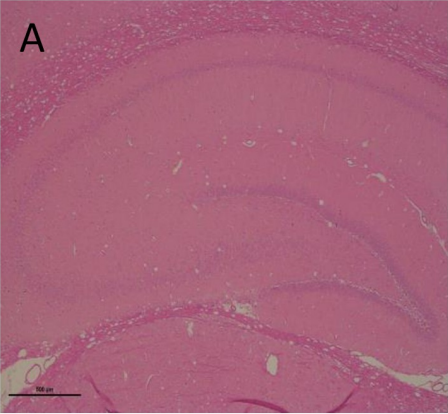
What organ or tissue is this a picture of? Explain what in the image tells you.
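Curved, C-shaped bands of densely packed cells run through pale pink tissue. A V-shaped cell band sits within the curve of the longer band. So: hippocampus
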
